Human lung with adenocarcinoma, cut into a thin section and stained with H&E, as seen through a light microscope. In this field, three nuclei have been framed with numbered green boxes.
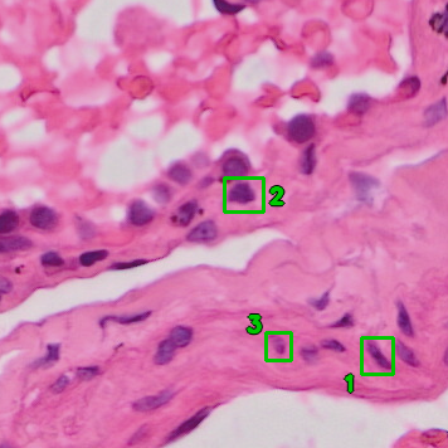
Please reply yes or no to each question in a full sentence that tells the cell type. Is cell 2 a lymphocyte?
Yes, on this slide, the cell with number 2 is a lymphocyte.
